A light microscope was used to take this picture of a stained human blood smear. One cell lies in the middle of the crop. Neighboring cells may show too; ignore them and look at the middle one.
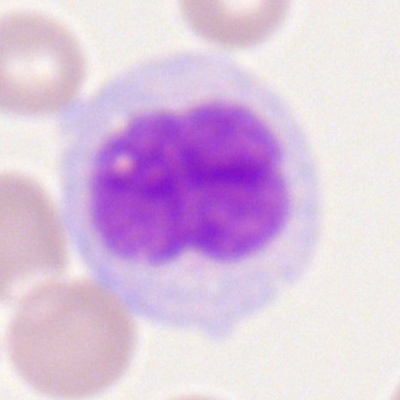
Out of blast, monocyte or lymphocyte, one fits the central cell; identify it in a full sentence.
The cell centered in this field of view is a monocyte.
